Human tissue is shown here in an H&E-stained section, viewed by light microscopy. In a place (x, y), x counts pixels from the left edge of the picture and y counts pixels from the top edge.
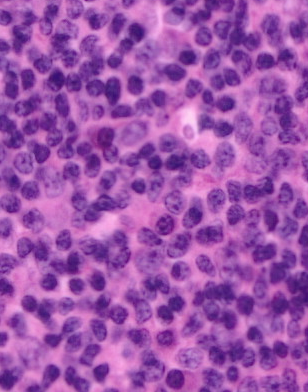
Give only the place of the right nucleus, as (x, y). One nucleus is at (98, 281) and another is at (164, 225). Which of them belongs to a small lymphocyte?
(98, 281)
